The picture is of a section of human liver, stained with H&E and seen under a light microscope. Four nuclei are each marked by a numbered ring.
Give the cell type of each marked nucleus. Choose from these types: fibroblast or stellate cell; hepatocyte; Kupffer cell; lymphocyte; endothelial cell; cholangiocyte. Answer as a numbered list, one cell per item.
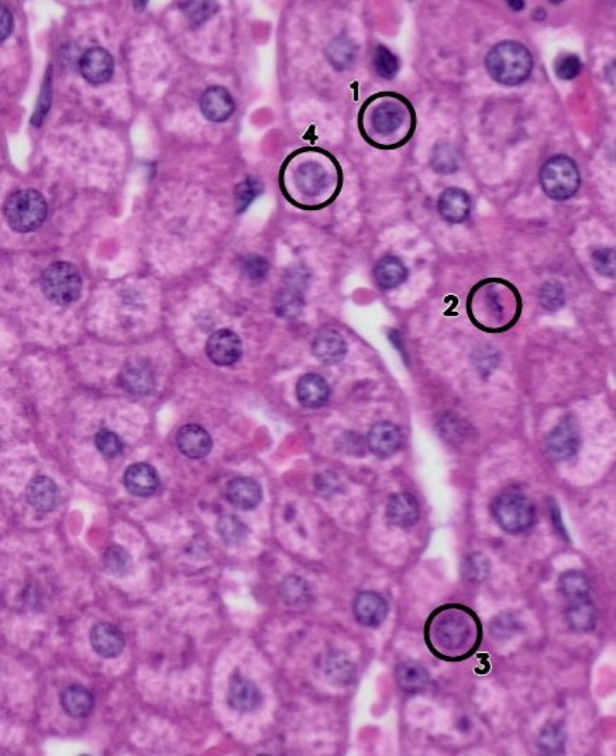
1. hepatocyte
2. endothelial cell
3. hepatocyte
4. hepatocyte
